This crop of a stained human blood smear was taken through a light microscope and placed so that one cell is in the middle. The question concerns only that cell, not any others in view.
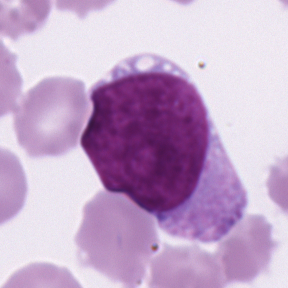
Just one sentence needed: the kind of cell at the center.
The cell centred in this crop is categorized as a myeloblast.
